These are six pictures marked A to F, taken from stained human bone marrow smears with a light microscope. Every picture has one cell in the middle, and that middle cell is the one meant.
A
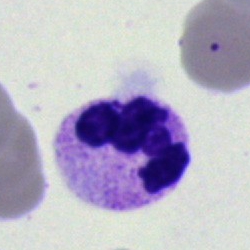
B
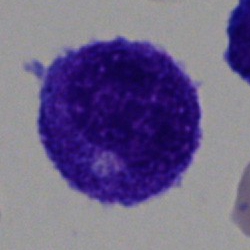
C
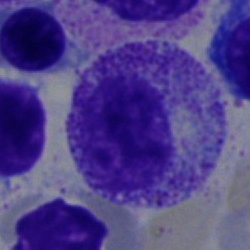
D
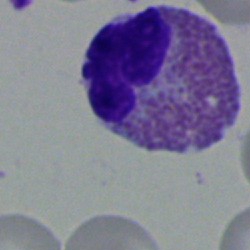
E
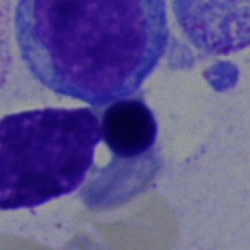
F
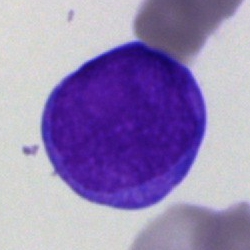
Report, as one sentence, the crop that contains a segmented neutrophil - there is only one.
It is crop A, not any other, that shows a segmented neutrophil.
